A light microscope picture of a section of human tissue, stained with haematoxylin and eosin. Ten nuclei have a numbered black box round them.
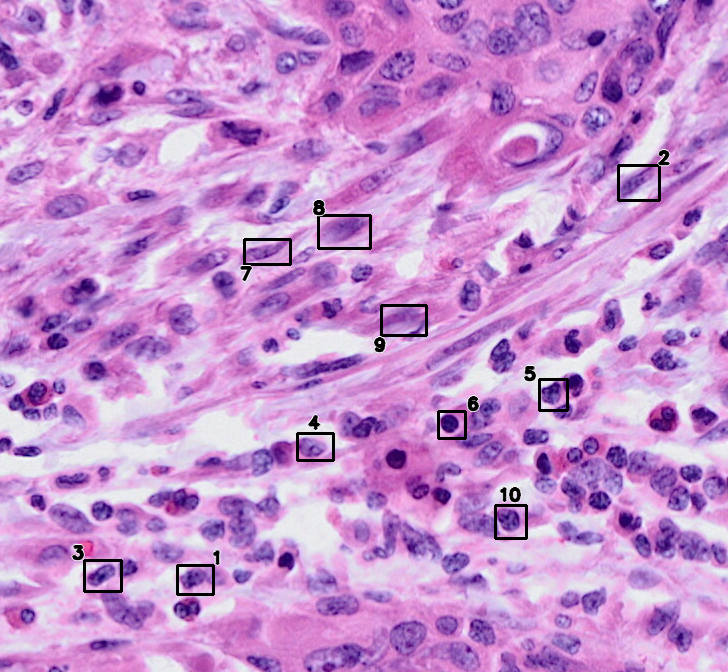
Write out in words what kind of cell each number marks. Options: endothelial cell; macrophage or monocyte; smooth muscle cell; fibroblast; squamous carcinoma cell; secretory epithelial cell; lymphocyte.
Cells 1, 3, 5, 6 and 10 are lymphocytes. Cells 2, 7, 8 and 9 are fibroblasts. Cell 4 is a macrophage or monocyte.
